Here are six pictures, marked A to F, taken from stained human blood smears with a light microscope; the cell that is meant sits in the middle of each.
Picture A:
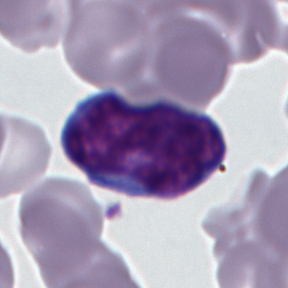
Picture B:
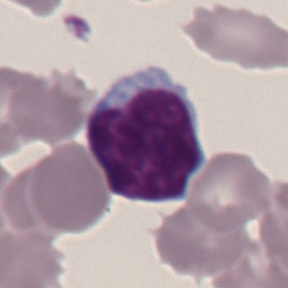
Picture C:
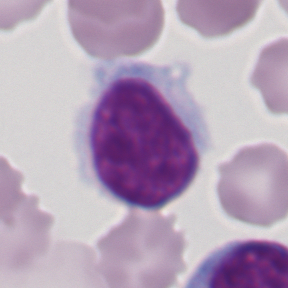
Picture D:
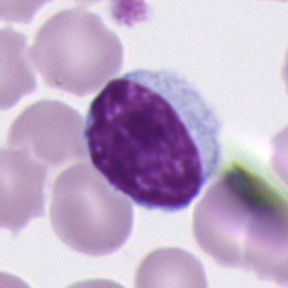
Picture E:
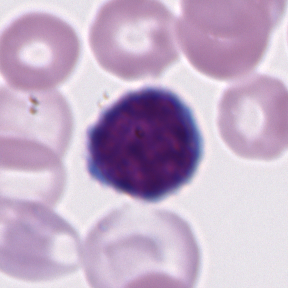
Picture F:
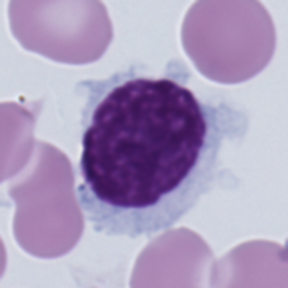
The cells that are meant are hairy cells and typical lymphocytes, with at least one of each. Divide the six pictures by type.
A: typical lymphocyte
B: typical lymphocyte
C: hairy cell
D: typical lymphocyte
E: typical lymphocyte
F: hairy cell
